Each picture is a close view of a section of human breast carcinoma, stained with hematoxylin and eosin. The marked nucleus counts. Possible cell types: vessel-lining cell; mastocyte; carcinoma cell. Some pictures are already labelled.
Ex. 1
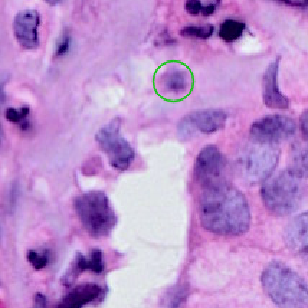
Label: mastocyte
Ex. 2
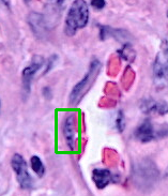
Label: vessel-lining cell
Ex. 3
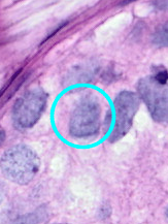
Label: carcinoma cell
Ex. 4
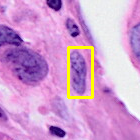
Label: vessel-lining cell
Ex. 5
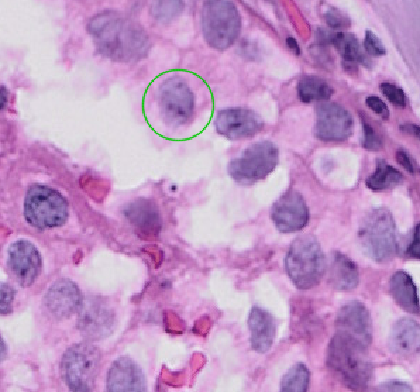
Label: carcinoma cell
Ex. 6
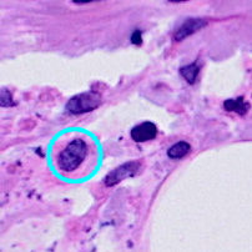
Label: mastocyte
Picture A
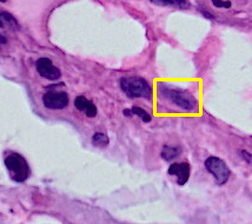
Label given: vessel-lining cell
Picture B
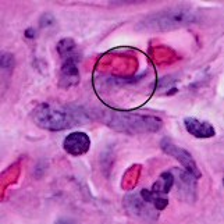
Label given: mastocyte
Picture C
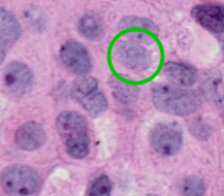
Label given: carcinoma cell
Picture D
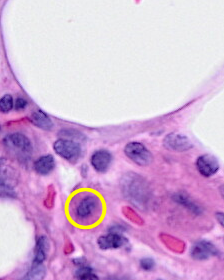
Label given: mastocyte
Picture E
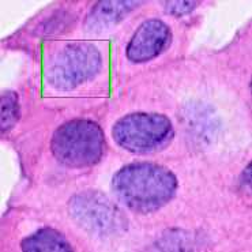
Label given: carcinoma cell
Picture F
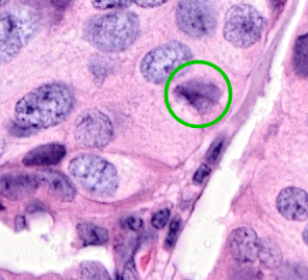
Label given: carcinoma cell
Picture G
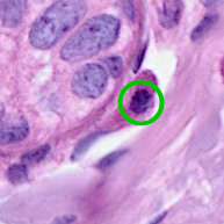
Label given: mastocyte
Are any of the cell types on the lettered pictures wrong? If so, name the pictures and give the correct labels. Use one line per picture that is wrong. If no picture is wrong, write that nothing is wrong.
B is labelled mastocyte; correct label: vessel-lining cell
